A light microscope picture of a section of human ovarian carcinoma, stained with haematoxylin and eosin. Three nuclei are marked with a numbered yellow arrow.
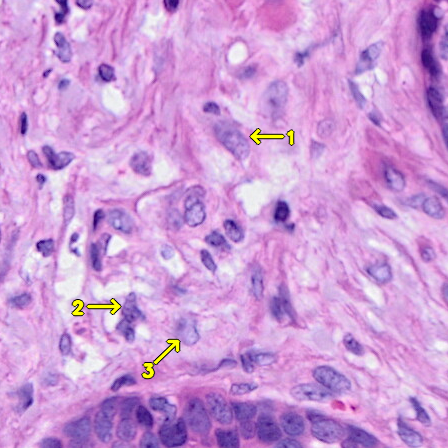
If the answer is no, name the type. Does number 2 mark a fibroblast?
No, it is a macrophage or monocyte.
